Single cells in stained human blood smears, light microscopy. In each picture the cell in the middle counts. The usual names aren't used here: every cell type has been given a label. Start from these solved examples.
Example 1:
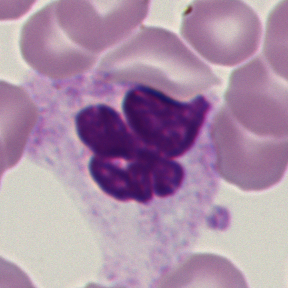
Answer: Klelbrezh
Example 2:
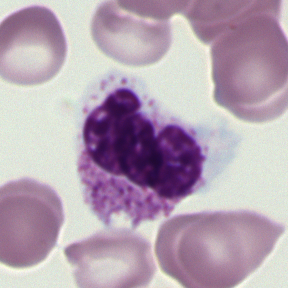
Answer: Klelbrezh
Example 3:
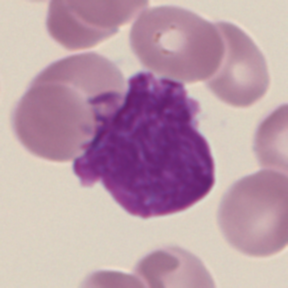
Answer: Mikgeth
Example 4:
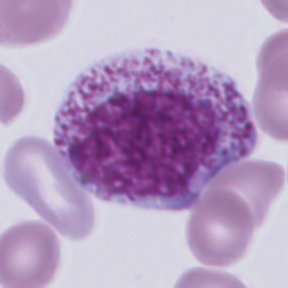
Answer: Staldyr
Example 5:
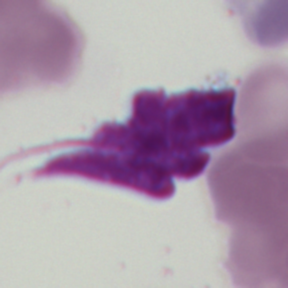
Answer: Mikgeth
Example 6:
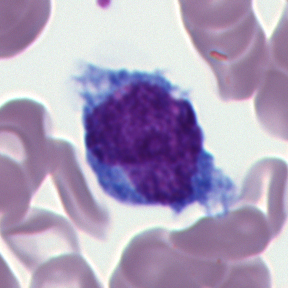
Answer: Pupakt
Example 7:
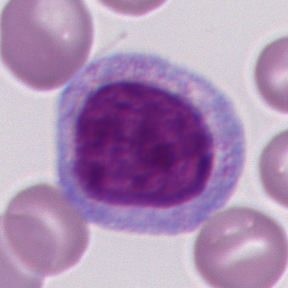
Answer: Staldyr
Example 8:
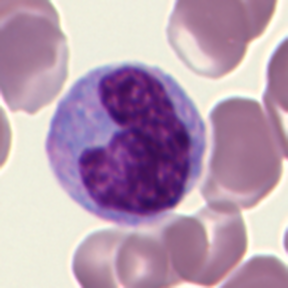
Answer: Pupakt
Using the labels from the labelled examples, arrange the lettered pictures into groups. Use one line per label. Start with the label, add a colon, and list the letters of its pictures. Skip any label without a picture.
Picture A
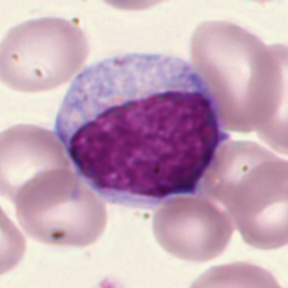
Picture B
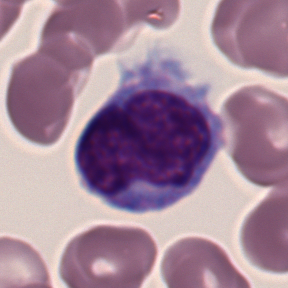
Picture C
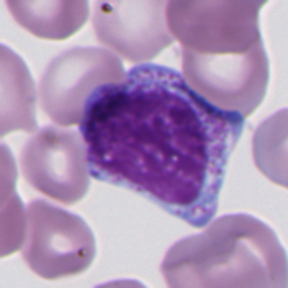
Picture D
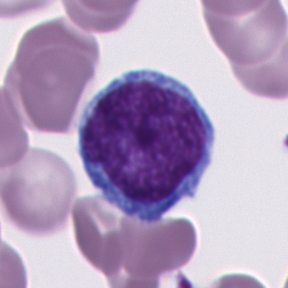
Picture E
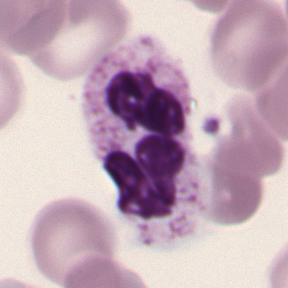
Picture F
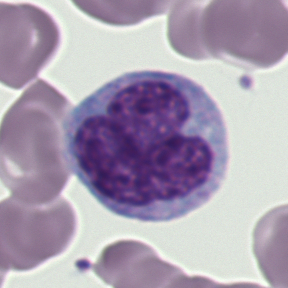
Klelbrezh: E
Staldyr: A, C
Pupakt: B, D, F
